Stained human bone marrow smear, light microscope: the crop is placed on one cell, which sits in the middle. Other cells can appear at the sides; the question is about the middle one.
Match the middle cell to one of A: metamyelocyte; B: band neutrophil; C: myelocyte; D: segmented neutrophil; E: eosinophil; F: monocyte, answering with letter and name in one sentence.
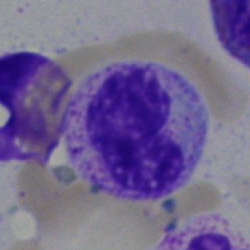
Since the middle cell is a metamyelocyte, option A is the right one.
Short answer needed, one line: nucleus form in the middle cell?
Worth pointing out that its nucleus is one compact mass, round, oval or reniform.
